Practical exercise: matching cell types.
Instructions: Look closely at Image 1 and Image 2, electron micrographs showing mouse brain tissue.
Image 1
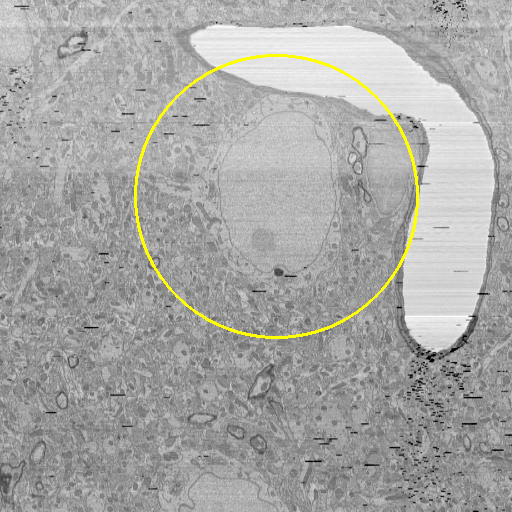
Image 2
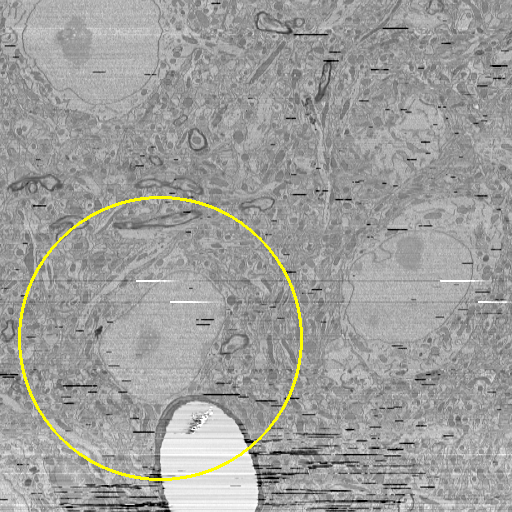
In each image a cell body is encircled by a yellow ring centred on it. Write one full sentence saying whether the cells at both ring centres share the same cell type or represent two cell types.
Across Image 1 and Image 2, the cells at the ring centres represent two cell types.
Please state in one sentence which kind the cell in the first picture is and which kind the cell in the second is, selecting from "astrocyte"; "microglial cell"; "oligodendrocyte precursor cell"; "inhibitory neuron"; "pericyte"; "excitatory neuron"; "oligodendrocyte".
The first ringed cell is an excitatory neuron, the second ringed cell an astrocyte.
